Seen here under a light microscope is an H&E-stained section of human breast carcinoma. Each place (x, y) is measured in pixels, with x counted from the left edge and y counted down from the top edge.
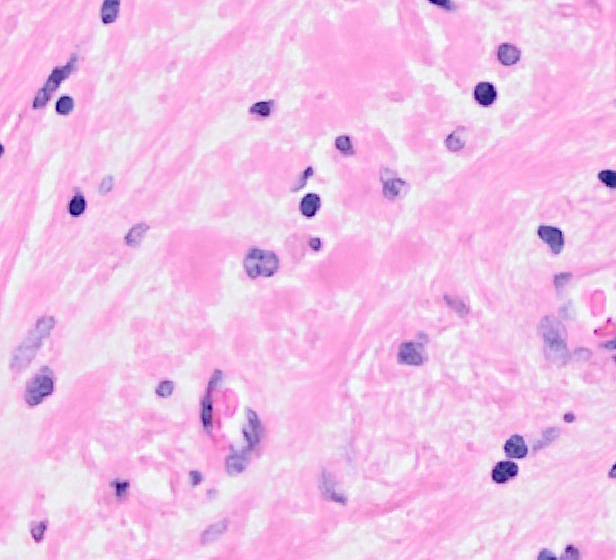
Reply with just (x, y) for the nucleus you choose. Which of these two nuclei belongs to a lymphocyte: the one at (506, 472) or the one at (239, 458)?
(506, 472)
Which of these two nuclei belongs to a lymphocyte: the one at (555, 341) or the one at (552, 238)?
(552, 238)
